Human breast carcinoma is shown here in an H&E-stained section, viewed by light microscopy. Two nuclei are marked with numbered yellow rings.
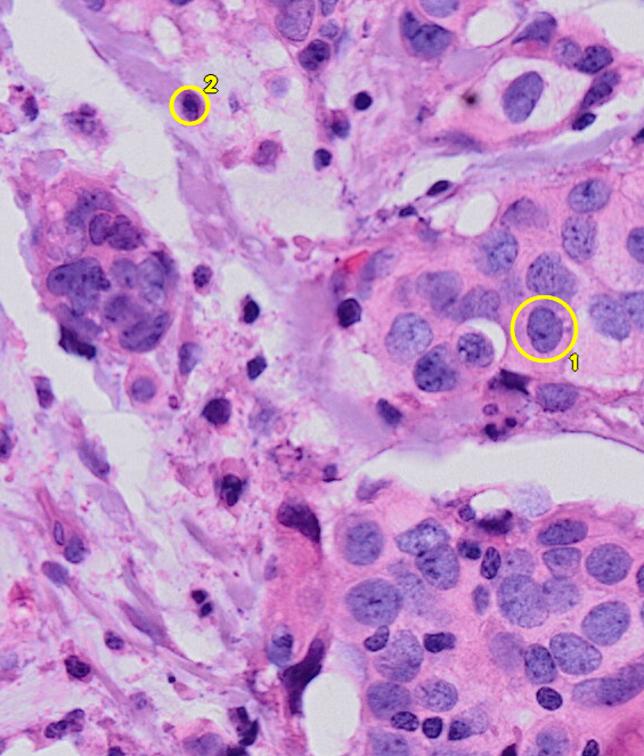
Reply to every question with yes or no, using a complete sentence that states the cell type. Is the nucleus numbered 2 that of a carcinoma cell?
No, the cell that carries number 2 is a mast cell, not a carcinoma cell.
